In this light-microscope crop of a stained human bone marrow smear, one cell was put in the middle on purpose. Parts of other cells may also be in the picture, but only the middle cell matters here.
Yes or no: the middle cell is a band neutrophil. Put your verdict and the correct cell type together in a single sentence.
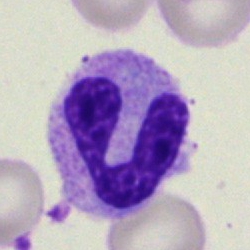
No, it is not a band neutrophil that sits at the centre but a segmented neutrophil.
